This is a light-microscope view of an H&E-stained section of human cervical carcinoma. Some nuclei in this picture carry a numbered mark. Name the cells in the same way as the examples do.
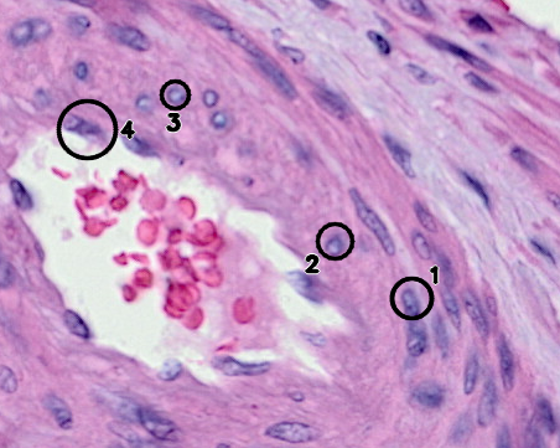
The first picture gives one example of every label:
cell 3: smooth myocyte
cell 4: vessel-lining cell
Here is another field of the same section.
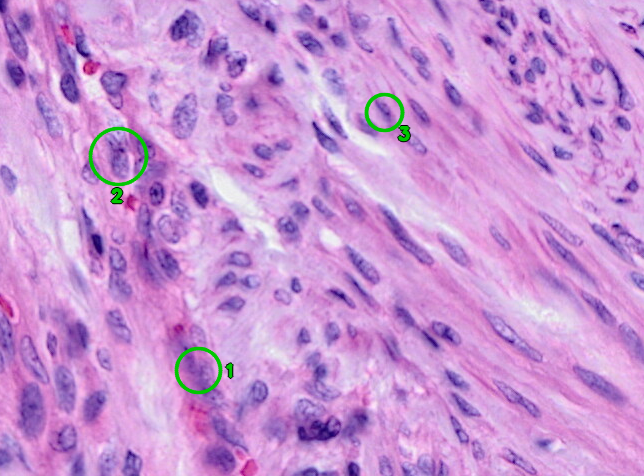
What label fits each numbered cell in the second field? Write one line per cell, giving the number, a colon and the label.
1: vessel-lining cell
2: vessel-lining cell
3: smooth myocyte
